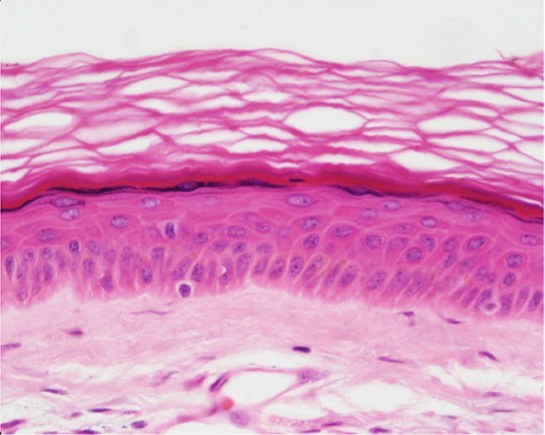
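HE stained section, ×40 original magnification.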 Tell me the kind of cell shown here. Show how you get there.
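A stratified epithelium of closely packed nucleated cells rests on pale connective tissue. The cells flatten toward the surface and give way to anucleate, pink, flaky layers. A thin dark line lies just beneath the flaky layers.
Keratinocytes.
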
